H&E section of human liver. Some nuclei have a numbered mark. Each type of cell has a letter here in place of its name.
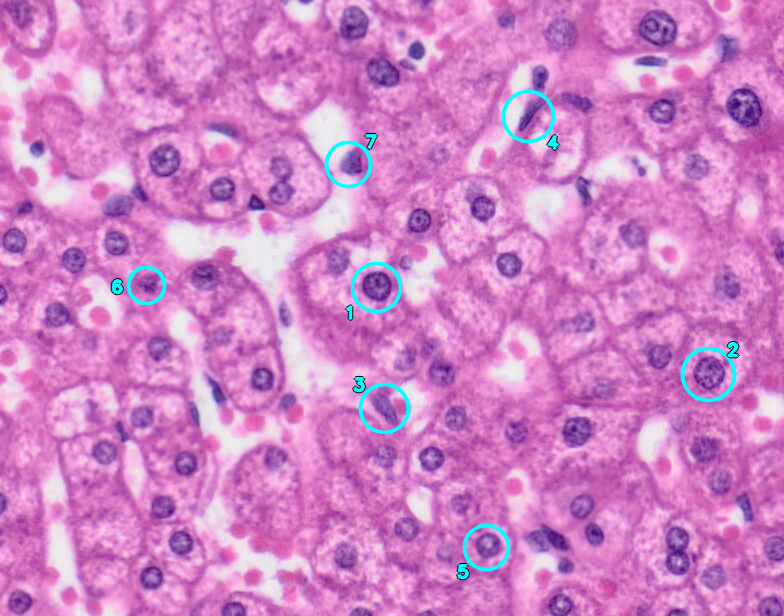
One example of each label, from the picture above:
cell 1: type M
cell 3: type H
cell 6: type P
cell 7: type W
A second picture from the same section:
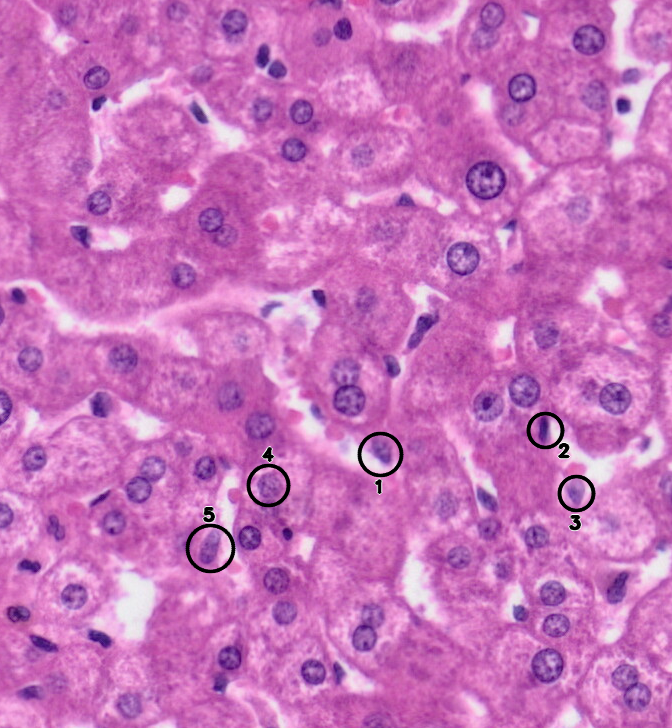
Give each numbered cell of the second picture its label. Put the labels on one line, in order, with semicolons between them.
type H; type P; type H; type M; type H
